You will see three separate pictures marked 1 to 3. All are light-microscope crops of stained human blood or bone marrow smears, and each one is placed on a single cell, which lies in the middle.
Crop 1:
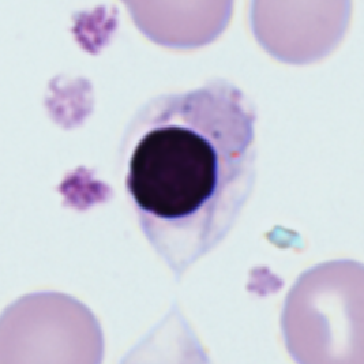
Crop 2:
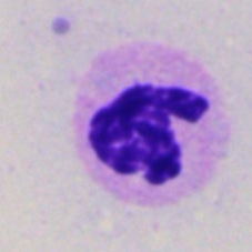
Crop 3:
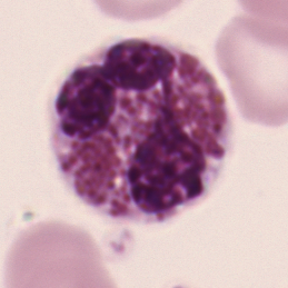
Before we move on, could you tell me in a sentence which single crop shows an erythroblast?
The cell at the center of crop 1 is the one that is an erythroblast.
